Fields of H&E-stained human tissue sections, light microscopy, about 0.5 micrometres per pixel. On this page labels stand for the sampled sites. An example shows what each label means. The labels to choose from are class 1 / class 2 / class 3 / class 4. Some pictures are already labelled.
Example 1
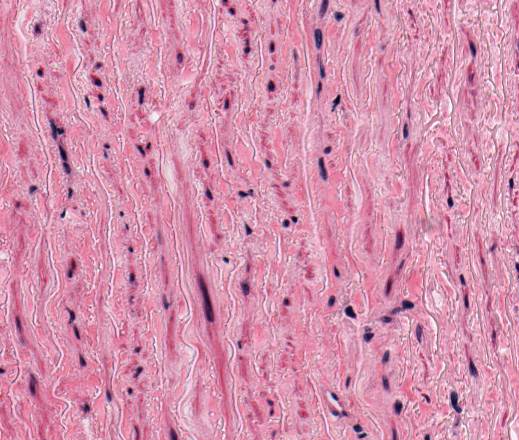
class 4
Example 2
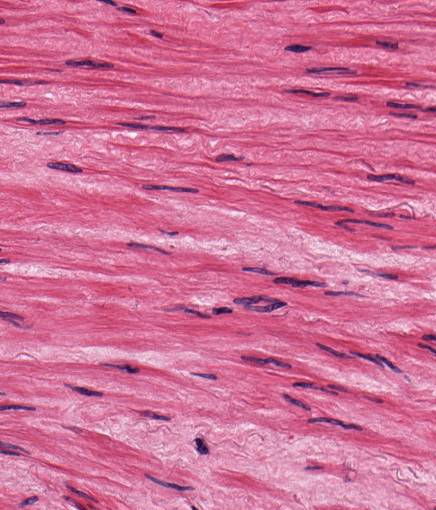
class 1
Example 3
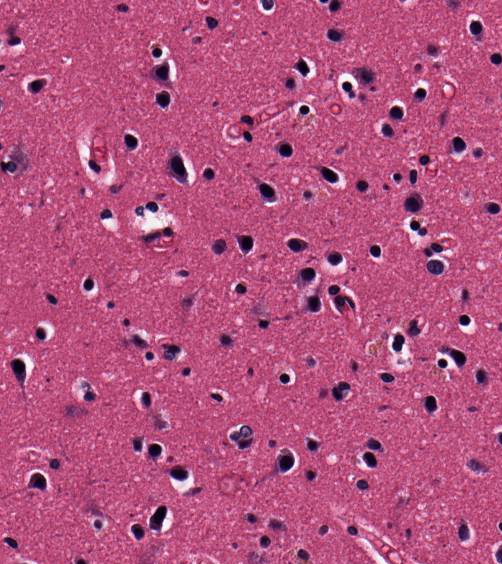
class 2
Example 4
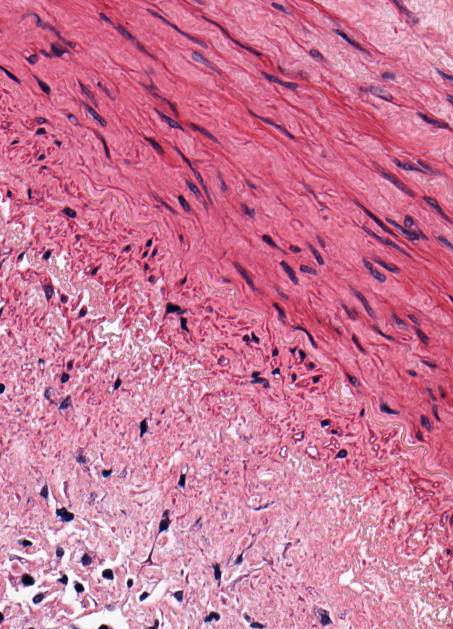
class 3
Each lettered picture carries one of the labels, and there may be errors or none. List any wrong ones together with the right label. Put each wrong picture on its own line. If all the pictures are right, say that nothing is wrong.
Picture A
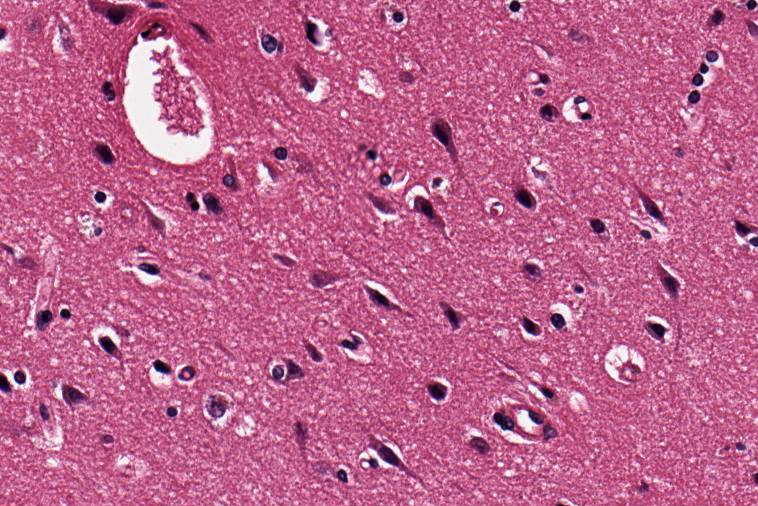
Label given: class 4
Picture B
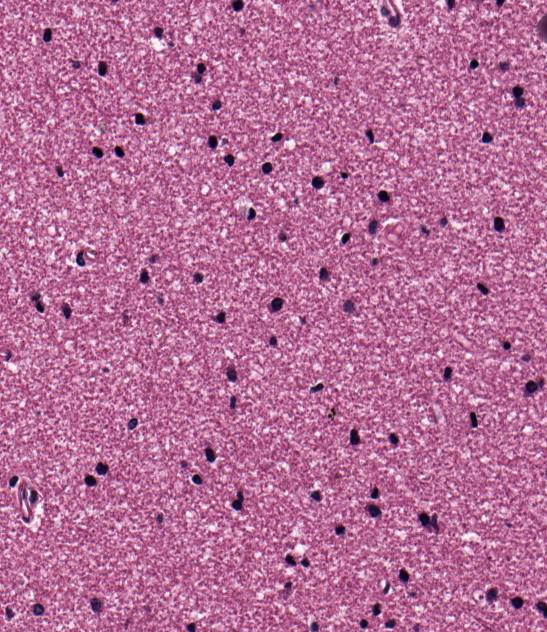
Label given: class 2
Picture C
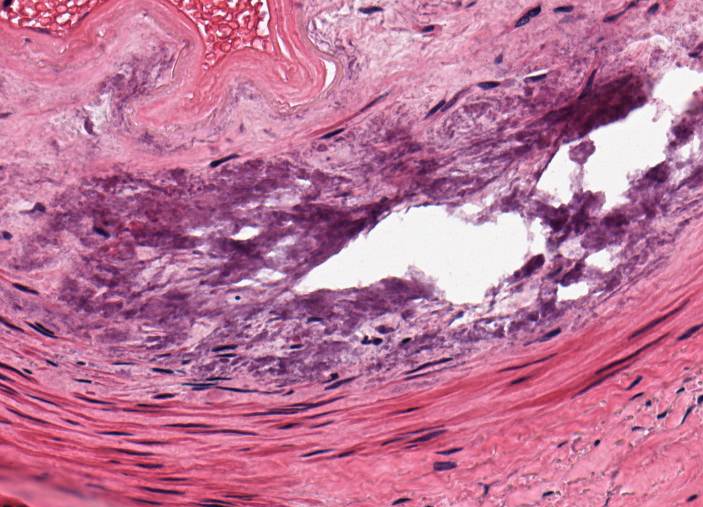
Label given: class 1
A is labelled class 4; correct label: class 2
